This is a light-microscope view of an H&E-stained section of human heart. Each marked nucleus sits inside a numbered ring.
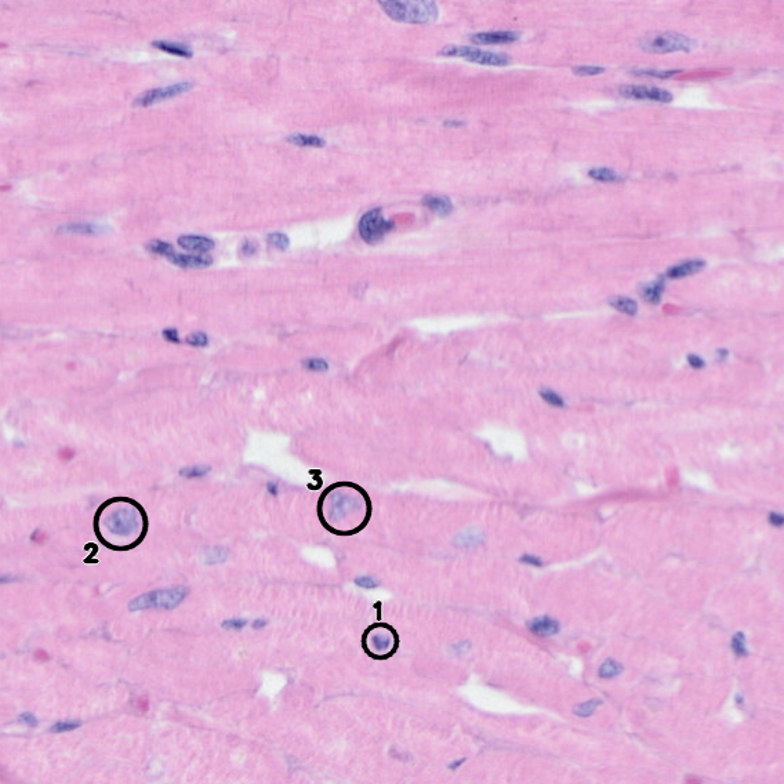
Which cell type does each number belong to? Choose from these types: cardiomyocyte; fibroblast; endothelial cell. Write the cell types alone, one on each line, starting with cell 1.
endothelial cell
cardiomyocyte
cardiomyocyte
